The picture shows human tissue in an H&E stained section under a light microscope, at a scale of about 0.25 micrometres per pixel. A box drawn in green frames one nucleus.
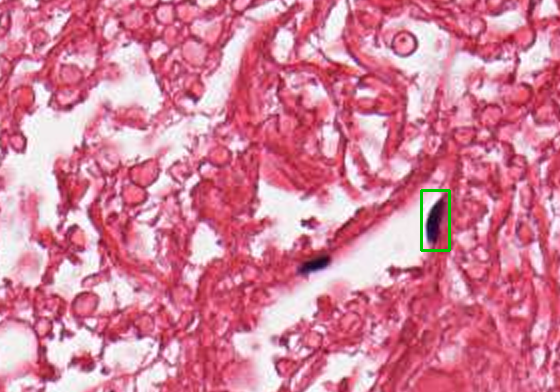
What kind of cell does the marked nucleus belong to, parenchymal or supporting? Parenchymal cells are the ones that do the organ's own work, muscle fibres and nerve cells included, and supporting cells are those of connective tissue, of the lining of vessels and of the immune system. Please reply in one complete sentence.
A supporting cell is what the marked nucleus belongs to.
